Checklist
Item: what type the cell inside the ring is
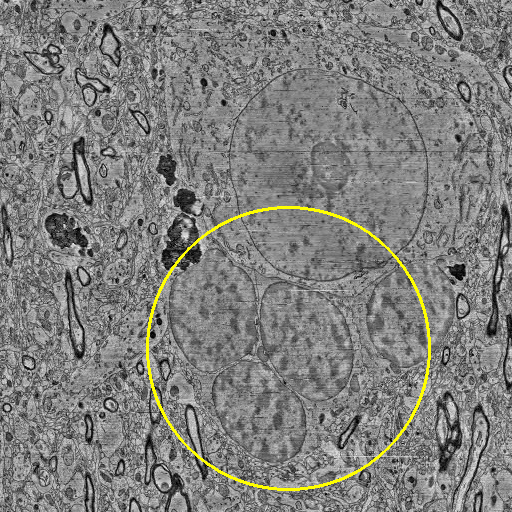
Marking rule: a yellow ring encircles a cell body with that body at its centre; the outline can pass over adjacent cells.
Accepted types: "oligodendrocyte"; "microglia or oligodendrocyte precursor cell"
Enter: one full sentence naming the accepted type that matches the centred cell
The entry is that an oligodendrocyte lies at the centre of the yellow ring.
